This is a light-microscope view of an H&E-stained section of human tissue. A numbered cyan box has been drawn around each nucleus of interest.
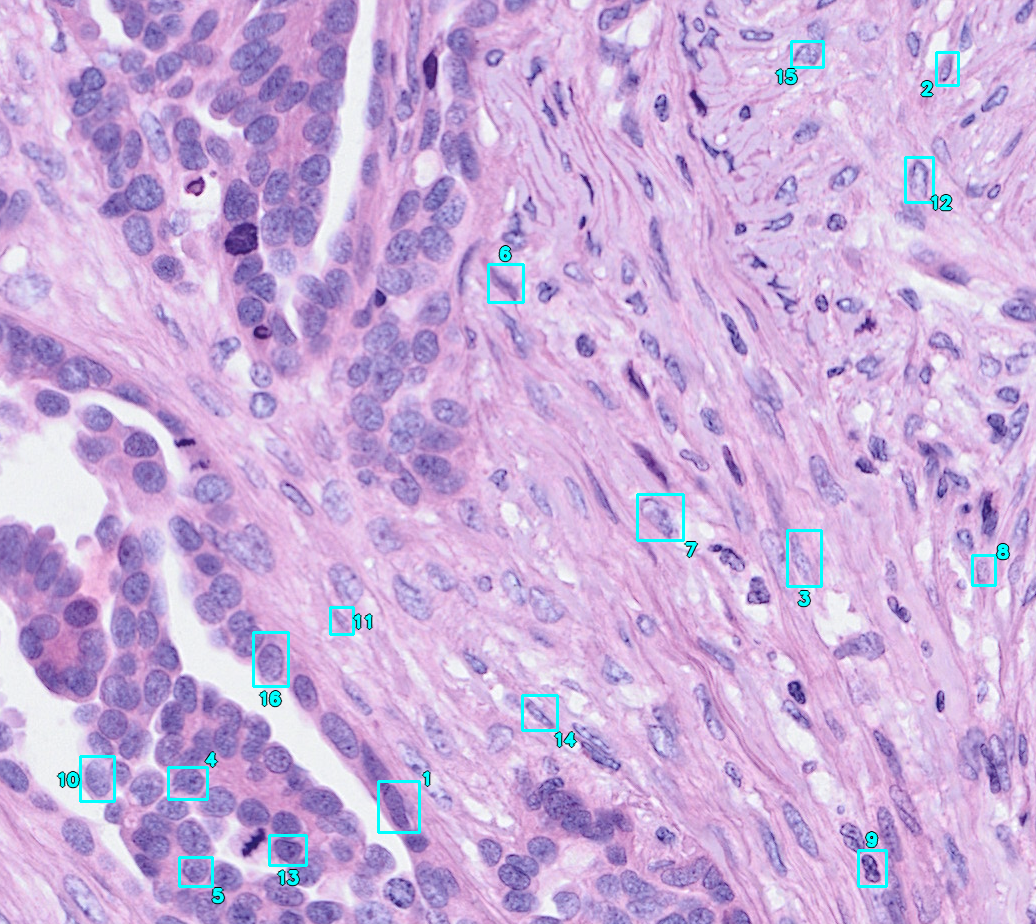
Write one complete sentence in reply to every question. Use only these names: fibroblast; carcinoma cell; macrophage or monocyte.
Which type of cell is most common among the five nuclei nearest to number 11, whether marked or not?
Around number 11, most of the five nearest nuclei are those of fibroblasts.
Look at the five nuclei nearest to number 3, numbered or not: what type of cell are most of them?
Macrophages or monocytes make up most of the five nuclei closest to number 3.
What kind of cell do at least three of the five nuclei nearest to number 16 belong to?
Most of the five nuclei nearest to number 16 are those of carcinoma cells.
